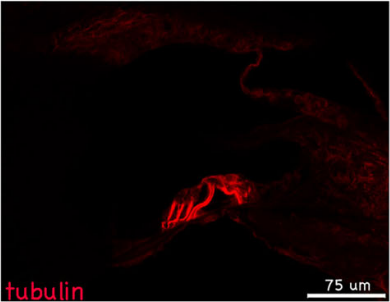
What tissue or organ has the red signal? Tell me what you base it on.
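A bright red, striated cluster sits on a thin epithelial ridge in the lower middle of the panel. The rest of the tissue is only faintly red.
Answer: organ of Corti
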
